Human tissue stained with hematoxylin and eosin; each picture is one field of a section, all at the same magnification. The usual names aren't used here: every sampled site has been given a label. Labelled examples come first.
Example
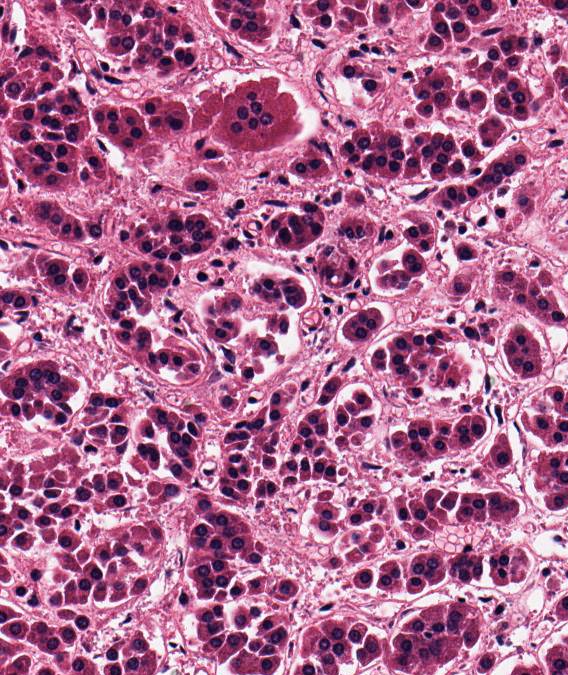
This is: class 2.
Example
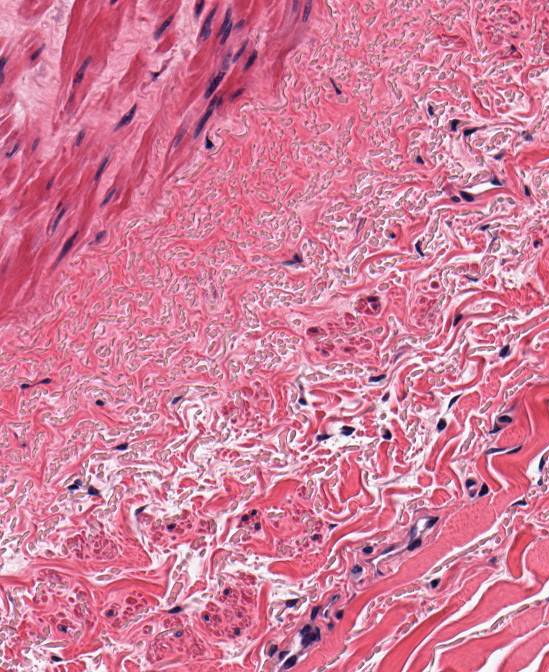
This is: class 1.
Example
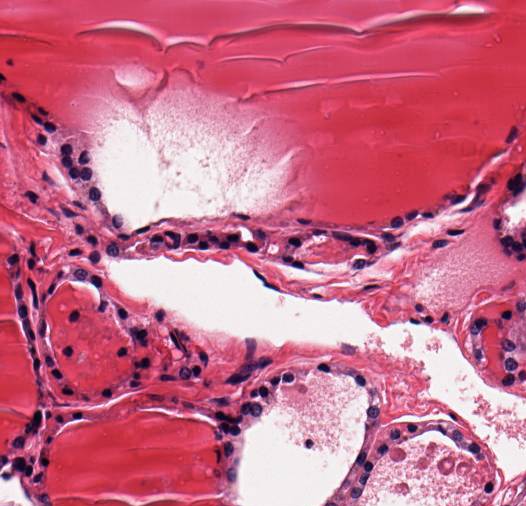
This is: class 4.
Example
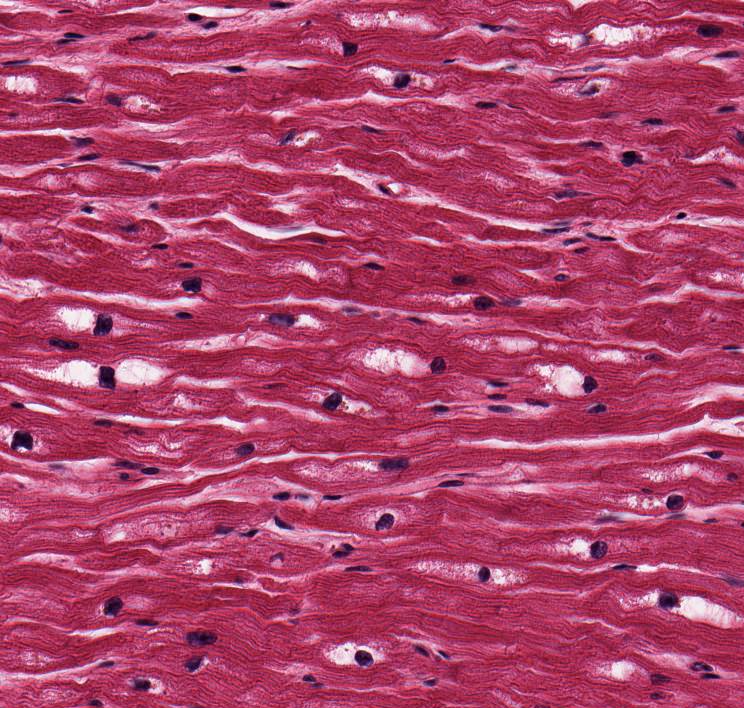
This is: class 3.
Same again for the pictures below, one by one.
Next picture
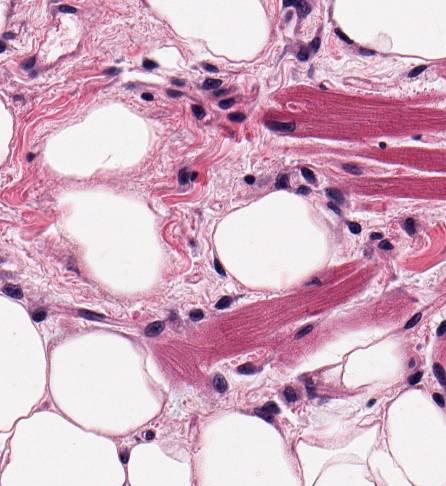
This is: class 3.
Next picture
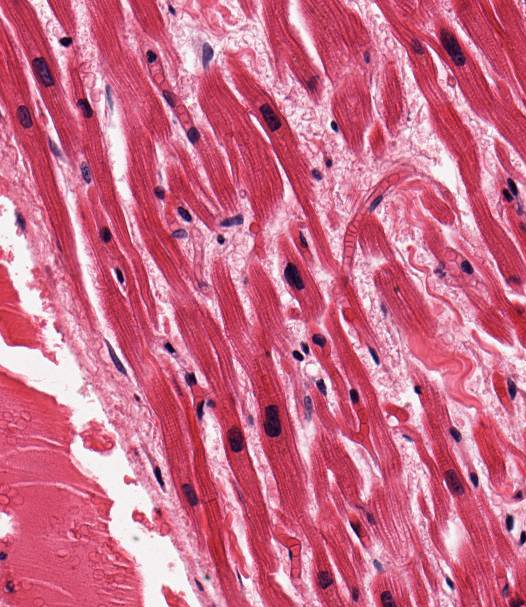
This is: class 3.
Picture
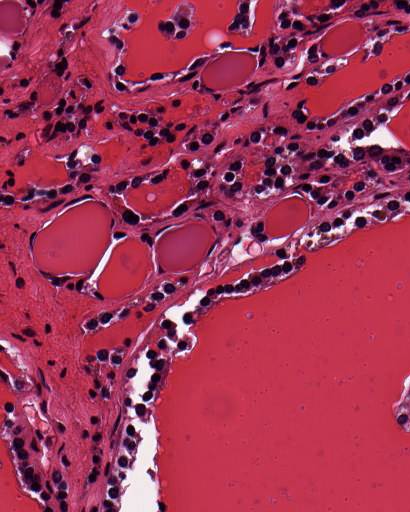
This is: class 4.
